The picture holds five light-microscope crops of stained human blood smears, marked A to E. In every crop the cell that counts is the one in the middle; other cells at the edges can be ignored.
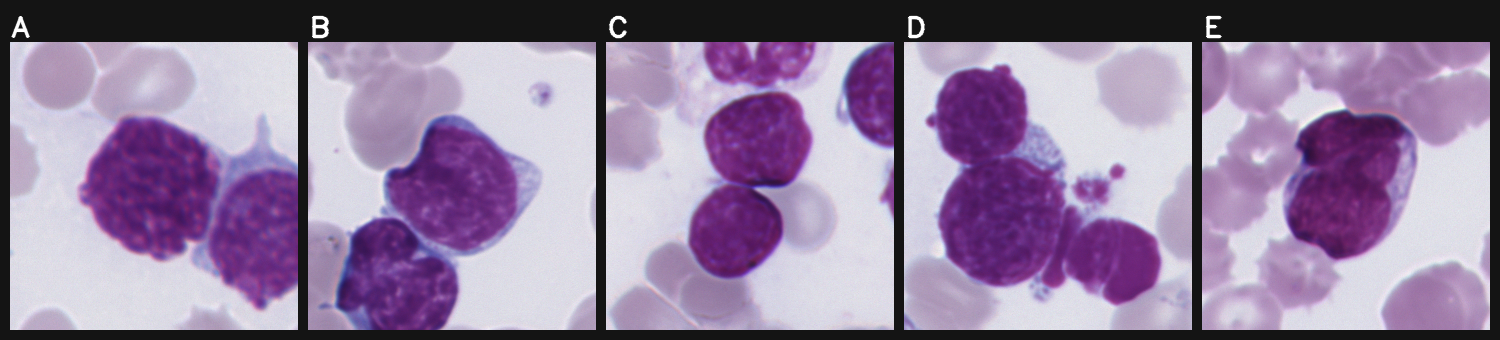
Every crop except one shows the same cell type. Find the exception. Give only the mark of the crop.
B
